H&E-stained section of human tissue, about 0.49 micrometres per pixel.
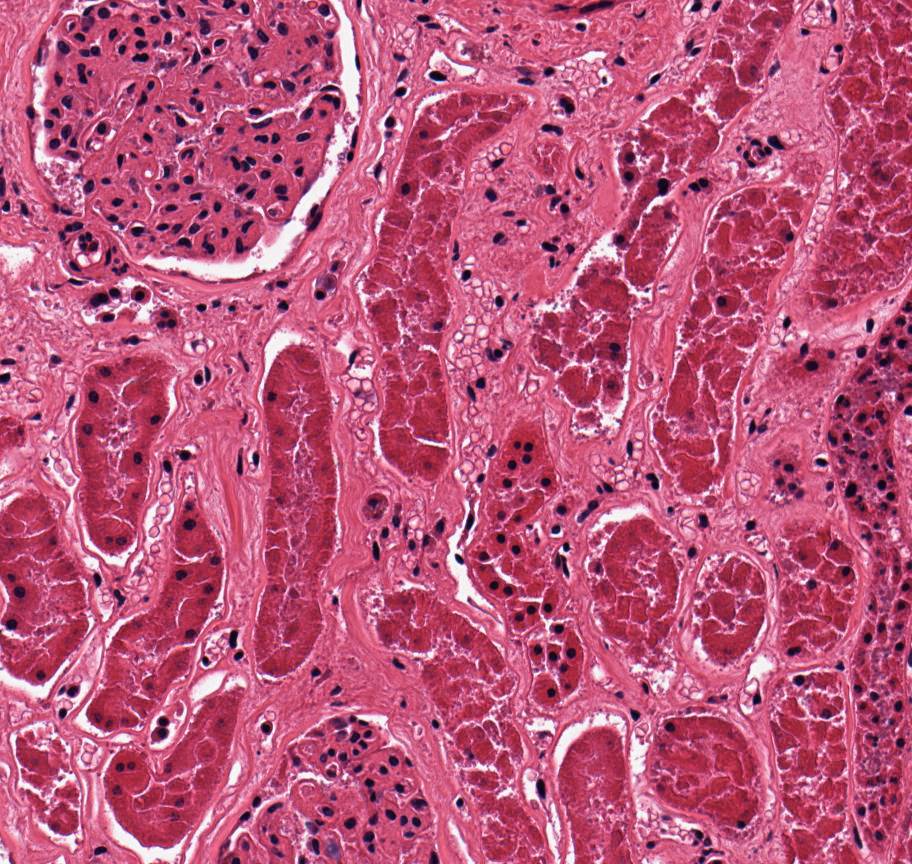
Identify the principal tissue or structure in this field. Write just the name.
cortical labyrinth of the kidney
